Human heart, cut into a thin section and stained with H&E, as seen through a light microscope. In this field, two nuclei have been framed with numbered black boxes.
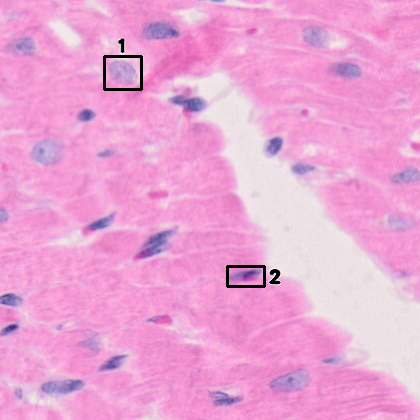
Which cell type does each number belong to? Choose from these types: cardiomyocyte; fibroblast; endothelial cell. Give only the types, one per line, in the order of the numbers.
cardiomyocyte
endothelial cell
